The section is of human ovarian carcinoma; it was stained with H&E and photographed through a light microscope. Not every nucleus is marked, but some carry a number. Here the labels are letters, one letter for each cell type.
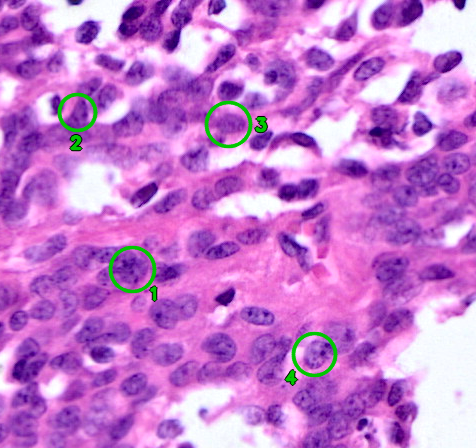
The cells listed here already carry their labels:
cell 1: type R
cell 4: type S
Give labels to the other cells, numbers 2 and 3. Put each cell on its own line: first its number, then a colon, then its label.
2: type R
3: type R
